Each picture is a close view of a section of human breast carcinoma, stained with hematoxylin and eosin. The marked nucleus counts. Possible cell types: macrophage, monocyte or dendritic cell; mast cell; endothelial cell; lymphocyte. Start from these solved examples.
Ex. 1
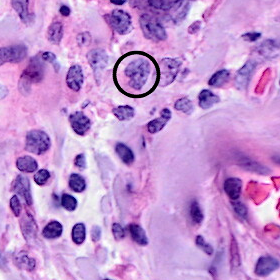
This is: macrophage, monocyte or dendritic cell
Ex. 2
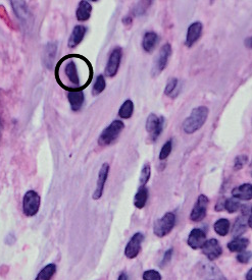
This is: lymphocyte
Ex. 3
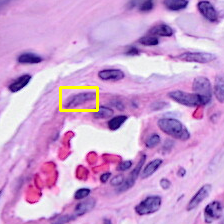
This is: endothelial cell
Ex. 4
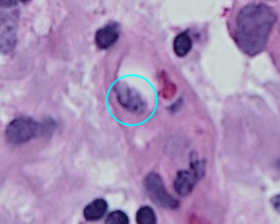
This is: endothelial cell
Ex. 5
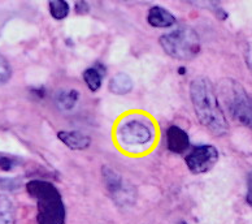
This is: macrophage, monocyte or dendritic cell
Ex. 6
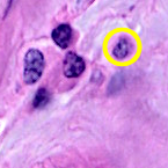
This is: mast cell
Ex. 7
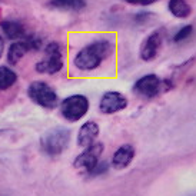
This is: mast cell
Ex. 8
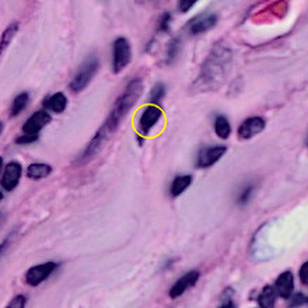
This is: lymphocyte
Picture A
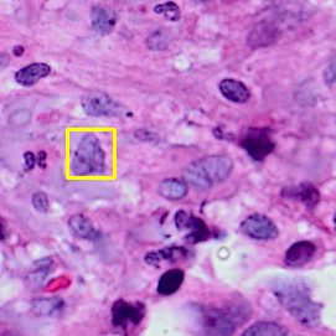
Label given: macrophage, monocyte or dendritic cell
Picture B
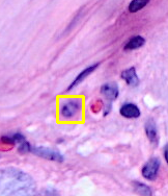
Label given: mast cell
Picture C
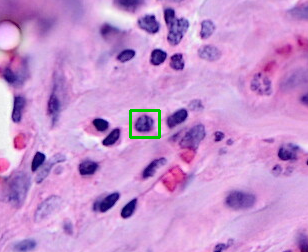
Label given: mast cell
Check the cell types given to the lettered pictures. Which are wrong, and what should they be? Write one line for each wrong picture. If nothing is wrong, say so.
Every label is right.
